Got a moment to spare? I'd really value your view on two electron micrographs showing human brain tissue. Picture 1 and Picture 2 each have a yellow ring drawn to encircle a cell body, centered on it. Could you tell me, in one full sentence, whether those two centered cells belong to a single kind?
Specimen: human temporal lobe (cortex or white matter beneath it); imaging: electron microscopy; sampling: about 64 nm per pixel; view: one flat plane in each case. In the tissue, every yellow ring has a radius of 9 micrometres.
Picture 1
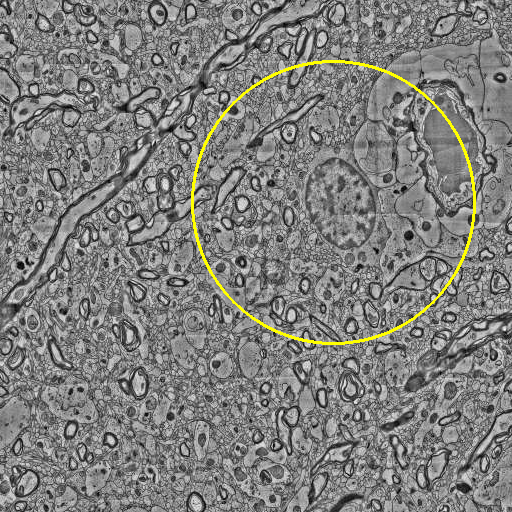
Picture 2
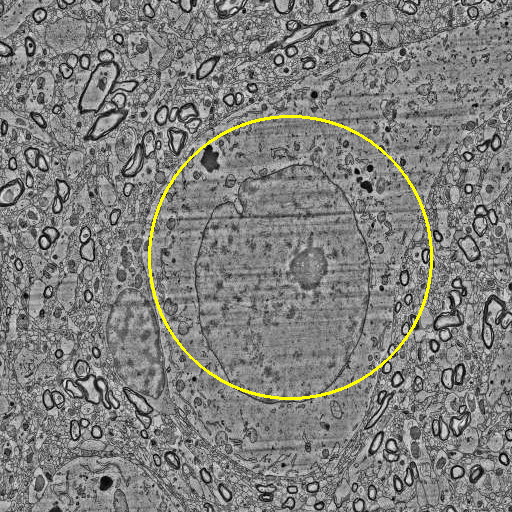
No, the two centered cells in Picture 1 and Picture 2 are of two kinds.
